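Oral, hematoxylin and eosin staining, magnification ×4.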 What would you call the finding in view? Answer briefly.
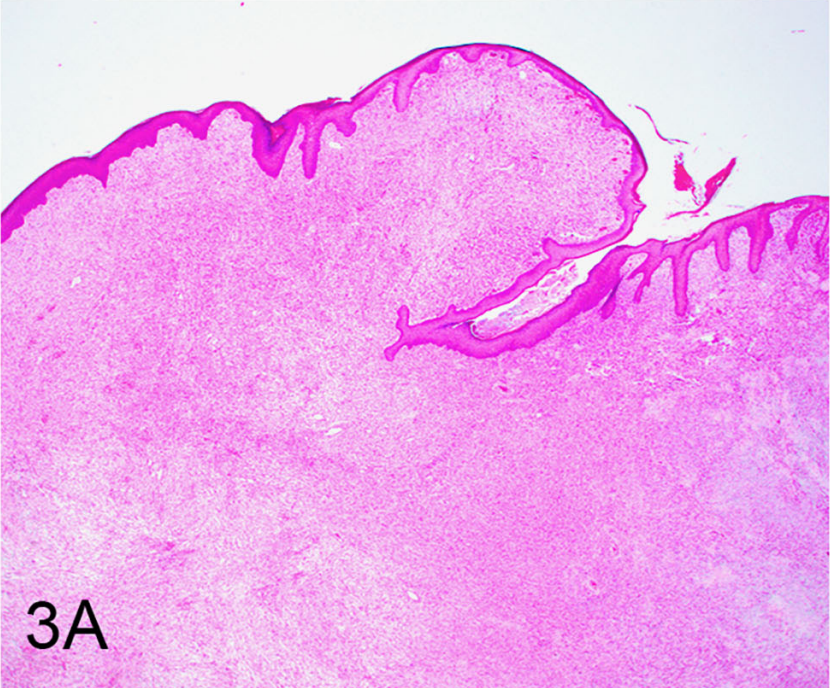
spindle cell tumor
